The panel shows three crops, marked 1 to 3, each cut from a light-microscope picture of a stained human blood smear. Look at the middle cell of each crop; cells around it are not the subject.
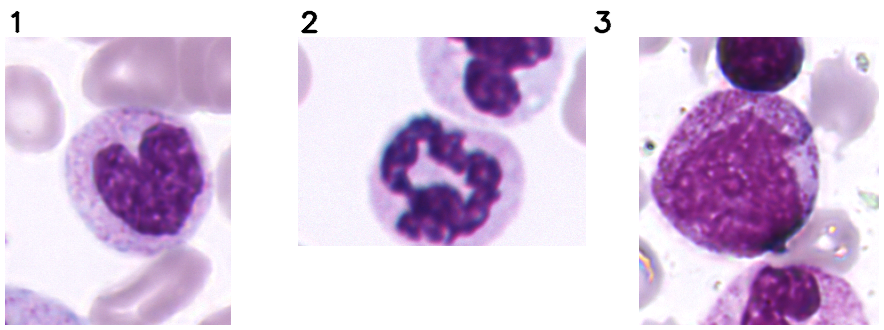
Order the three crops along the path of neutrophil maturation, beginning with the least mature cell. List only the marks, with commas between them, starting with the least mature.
3, 1, 2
